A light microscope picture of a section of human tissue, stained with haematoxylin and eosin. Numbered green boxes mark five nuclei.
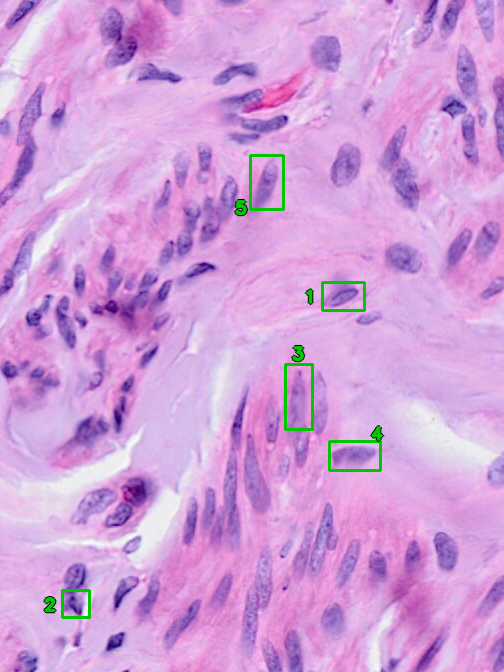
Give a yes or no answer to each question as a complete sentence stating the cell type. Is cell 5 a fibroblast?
No, cell 5 has been misnamed; it is a smooth muscle cell, not a fibroblast.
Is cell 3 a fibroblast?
No, number 3 corresponds to a smooth muscle cell, not a fibroblast.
